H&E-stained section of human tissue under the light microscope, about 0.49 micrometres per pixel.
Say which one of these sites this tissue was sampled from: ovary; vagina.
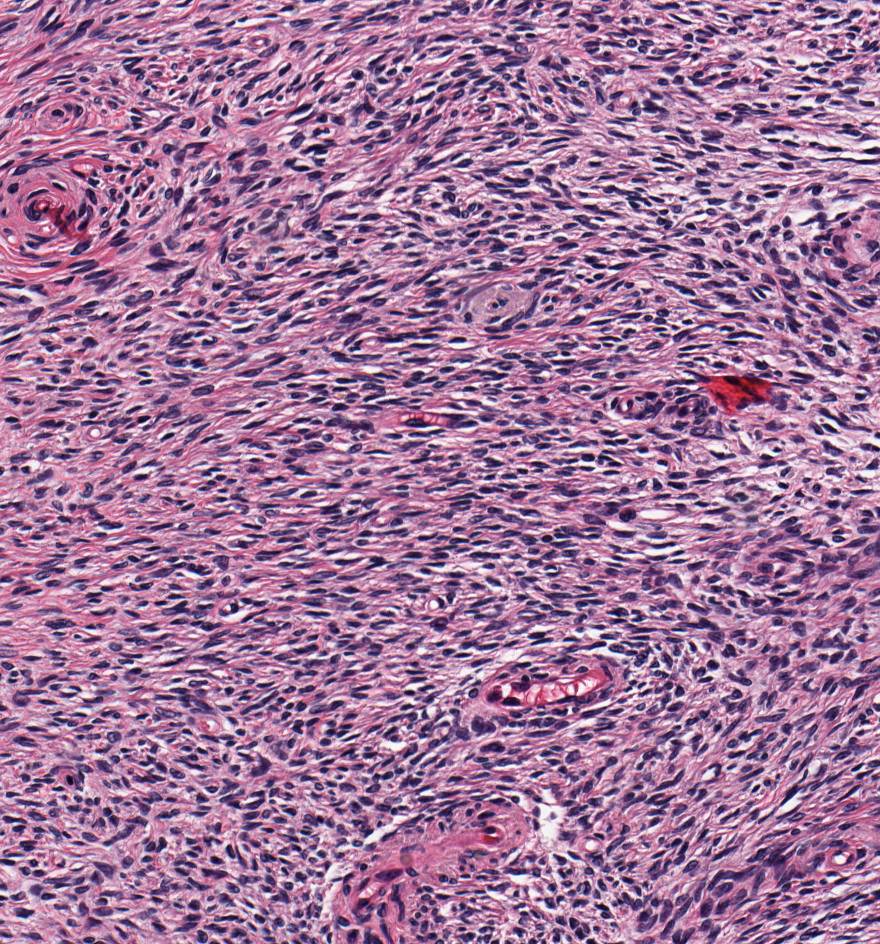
ovary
